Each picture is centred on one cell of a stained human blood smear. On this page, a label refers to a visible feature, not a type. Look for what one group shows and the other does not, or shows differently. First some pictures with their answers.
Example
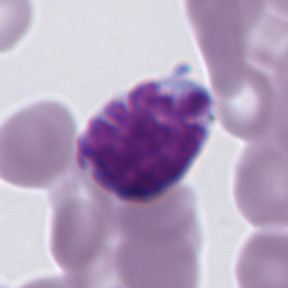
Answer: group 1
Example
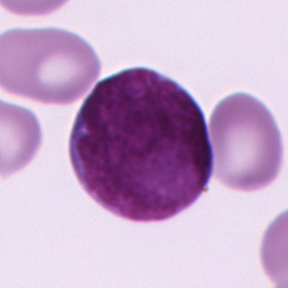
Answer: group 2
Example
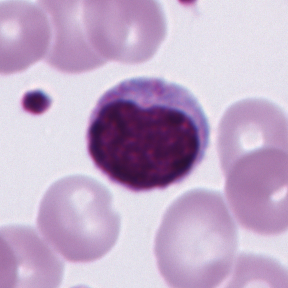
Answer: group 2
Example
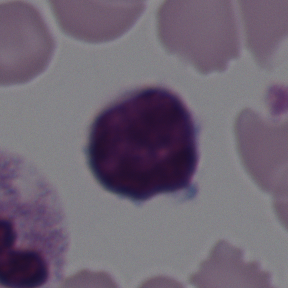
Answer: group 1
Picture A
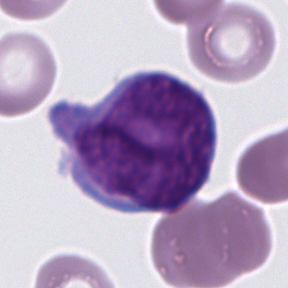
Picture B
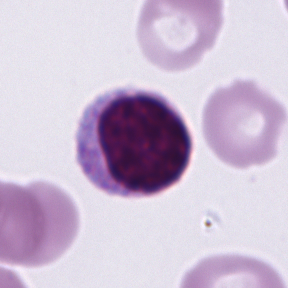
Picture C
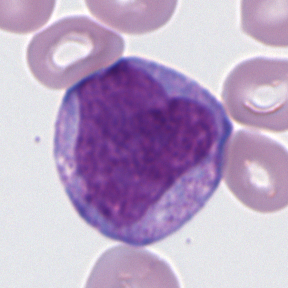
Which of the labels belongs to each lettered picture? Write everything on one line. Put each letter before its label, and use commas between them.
A group 1, B group 2, C group 2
